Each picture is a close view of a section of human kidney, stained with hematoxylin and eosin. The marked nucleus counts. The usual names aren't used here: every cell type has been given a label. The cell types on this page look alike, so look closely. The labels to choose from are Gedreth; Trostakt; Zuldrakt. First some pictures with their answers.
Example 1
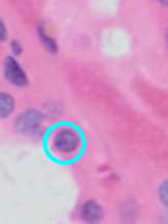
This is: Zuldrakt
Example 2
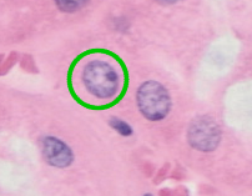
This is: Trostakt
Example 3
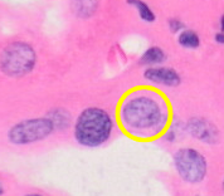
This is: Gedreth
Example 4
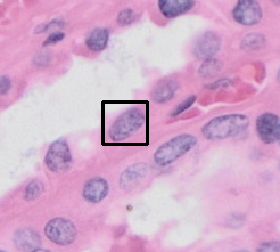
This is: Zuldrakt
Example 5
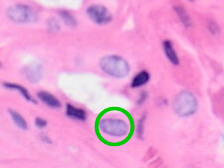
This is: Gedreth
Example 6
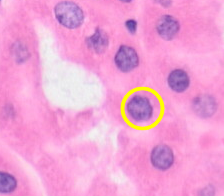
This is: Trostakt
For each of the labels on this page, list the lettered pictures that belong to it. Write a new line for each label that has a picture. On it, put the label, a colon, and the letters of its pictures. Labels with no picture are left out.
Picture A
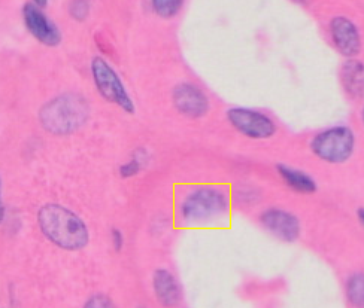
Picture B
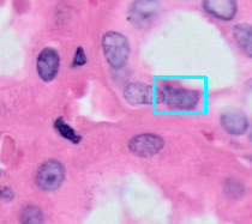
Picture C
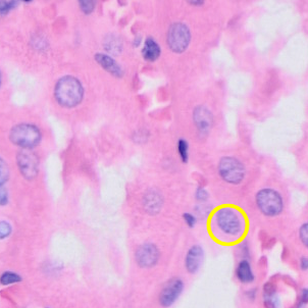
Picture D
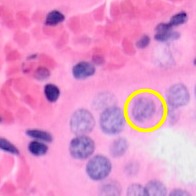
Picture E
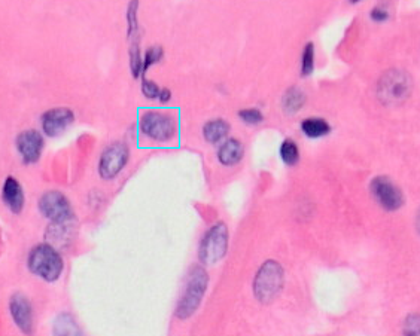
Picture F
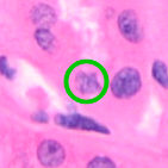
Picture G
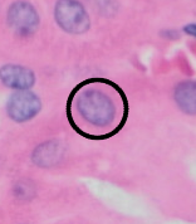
Gedreth: B, C, D, E, F
Trostakt: G
Zuldrakt: A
